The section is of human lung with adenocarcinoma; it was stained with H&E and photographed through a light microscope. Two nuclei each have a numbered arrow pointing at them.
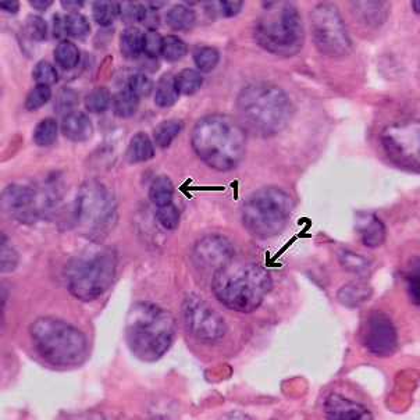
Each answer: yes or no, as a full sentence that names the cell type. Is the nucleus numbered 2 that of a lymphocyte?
No, cell 2 does not count as a lymphocyte; it is a carcinoma cell.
